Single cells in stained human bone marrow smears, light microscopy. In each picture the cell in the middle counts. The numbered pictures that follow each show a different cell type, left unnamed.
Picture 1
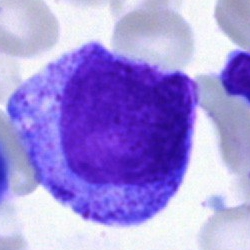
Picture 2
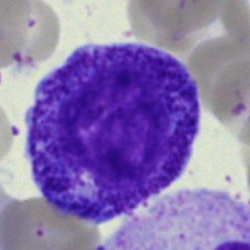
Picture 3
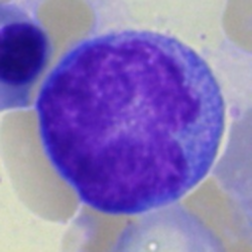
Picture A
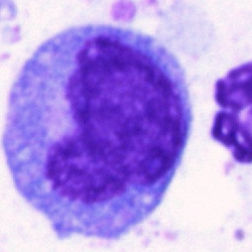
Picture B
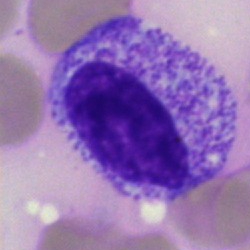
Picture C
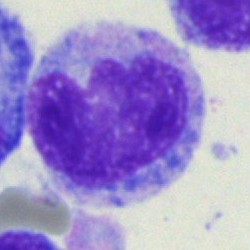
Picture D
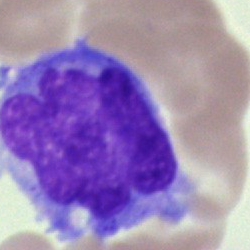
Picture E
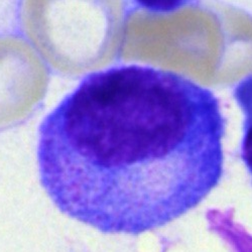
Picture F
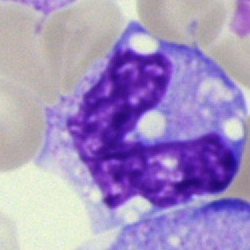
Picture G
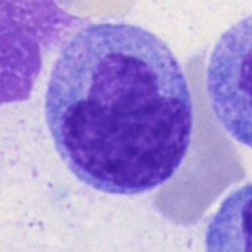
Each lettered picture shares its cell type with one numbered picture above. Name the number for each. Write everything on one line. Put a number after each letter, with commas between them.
A 3, B 2, C 3, D 3, E 1, F 3, G 3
